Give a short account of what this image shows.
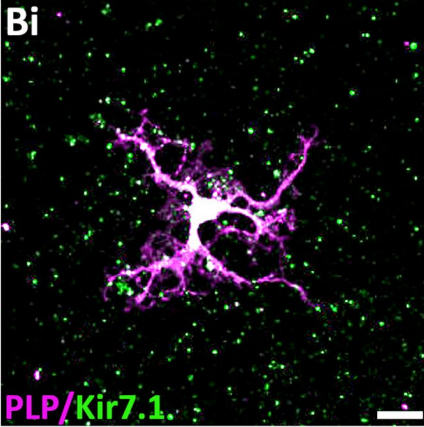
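A single cell lies on a dark background dotted with small green puncta; it has a bright central cell body from which several thick processes spread out in all directions and branch into finer tips. Much of the cell body and the thicker processes appear whitish where magenta and green overlap.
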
